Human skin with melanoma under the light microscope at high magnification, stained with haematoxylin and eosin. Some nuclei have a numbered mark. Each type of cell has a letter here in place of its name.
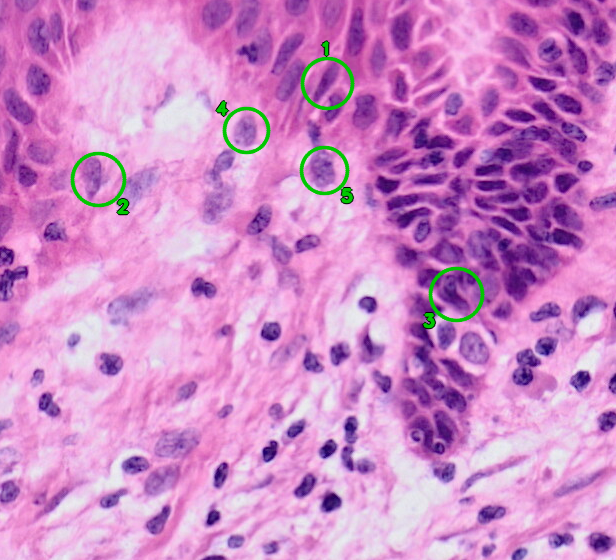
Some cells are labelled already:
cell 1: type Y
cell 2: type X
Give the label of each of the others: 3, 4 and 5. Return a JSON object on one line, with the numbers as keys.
{"3": "type Y", "4": "type X", "5": "type X"}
